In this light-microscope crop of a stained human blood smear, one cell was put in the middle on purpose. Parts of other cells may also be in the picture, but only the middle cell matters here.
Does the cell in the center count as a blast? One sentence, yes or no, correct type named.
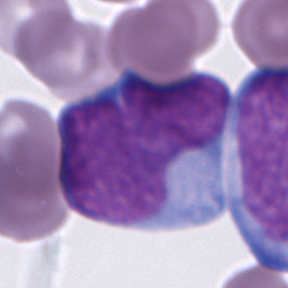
Yes, at the centre of the crop lies a blast.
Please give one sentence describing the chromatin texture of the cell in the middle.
What stands out is fine chromatin lacking any coarse clumps.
